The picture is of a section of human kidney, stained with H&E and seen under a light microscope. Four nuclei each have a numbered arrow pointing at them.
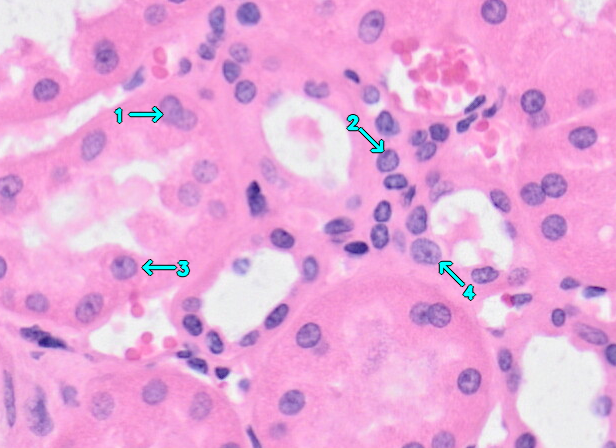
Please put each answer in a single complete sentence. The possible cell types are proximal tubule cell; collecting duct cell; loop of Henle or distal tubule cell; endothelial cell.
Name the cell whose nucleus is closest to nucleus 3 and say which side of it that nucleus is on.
The closest nucleus belongs to a proximal tubule cell and sits below and to the left of nucleus 3.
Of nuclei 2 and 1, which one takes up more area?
Number 1 is larger; its area is about 2 times that of number 2.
